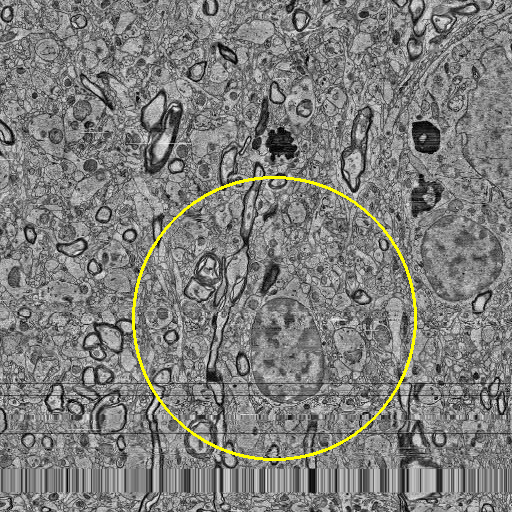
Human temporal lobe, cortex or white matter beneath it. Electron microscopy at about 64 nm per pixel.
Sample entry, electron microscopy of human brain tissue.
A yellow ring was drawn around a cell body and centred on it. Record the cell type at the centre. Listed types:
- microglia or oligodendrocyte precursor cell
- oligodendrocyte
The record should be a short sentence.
The cell at the ring's centre is a microglial cell or oligodendrocyte precursor cell.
